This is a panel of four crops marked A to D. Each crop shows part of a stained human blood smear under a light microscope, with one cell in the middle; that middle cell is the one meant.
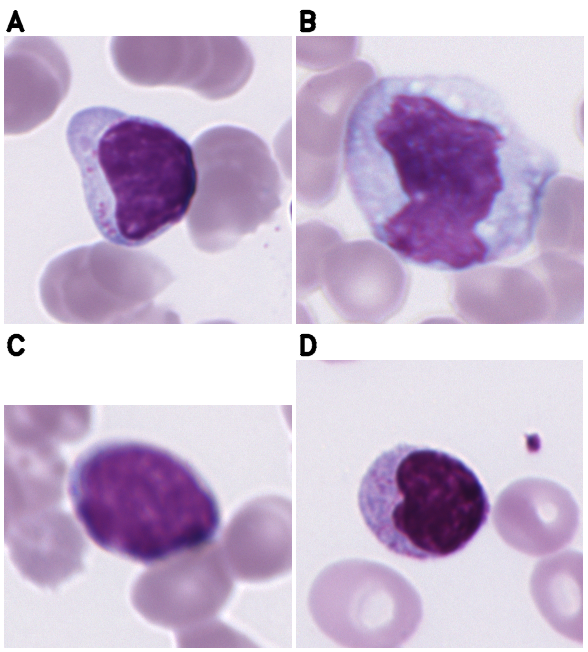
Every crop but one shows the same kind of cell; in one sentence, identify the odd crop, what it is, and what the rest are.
Crop B is the only crop with a monocyte, the others all showing large granular lymphocytes.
